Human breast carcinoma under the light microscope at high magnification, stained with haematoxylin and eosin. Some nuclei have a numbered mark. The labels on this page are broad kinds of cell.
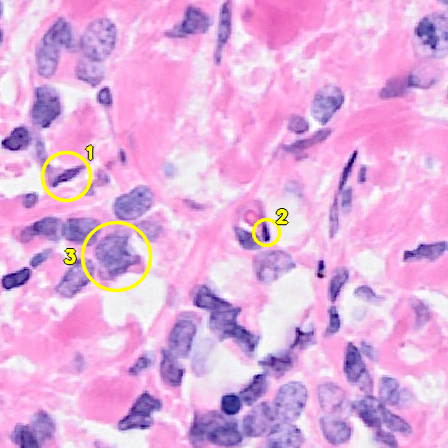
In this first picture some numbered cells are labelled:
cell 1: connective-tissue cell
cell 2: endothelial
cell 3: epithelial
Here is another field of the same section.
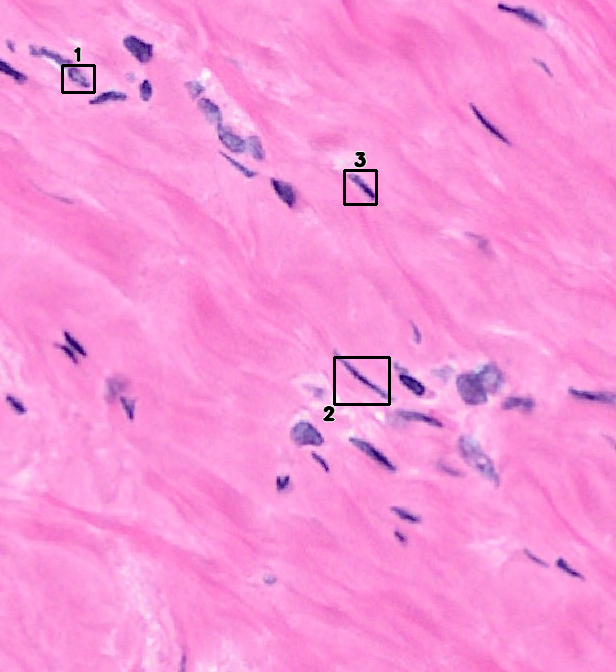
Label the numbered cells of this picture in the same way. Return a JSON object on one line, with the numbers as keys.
{"1": "endothelial", "2": "connective-tissue cell", "3": "connective-tissue cell"}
